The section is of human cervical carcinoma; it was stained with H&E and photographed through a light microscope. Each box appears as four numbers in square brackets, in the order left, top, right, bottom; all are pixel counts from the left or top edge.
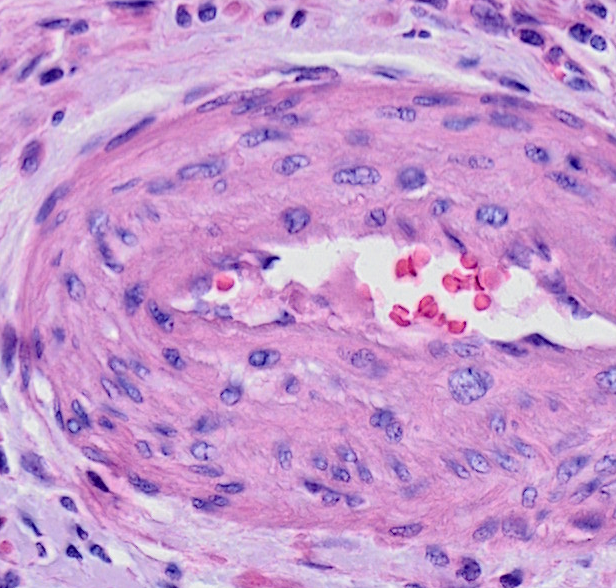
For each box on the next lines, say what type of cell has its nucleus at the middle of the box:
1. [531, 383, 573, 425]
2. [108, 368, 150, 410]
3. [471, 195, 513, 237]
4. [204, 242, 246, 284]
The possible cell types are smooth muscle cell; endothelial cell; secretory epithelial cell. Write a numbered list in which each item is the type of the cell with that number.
1. smooth muscle cell
2. smooth muscle cell
3. smooth muscle cell
4. endothelial cell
